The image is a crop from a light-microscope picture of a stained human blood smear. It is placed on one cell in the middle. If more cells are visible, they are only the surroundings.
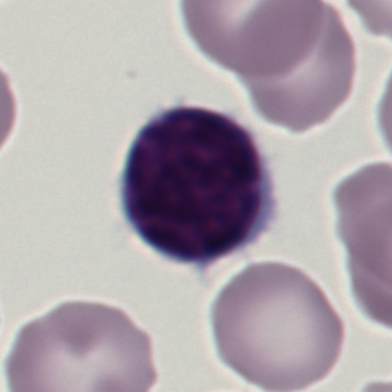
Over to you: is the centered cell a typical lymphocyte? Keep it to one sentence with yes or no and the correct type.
No, the cell under consideration is a hairy cell instead of a typical lymphocyte.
